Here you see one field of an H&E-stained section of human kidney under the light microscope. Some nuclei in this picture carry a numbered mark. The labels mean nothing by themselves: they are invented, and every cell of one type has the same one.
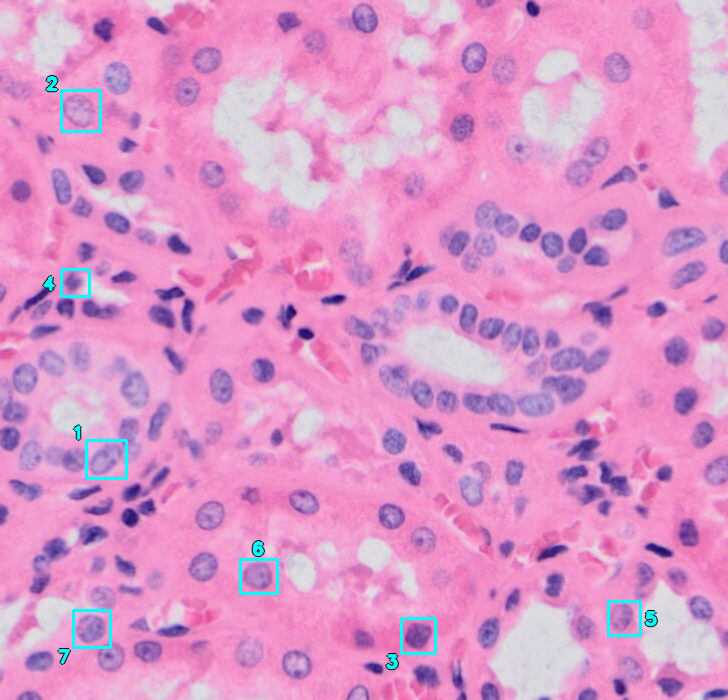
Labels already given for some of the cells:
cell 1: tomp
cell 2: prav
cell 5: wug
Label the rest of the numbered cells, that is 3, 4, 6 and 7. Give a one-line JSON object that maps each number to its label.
{"3": "prav", "4": "tomp", "6": "prav", "7": "wug"}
